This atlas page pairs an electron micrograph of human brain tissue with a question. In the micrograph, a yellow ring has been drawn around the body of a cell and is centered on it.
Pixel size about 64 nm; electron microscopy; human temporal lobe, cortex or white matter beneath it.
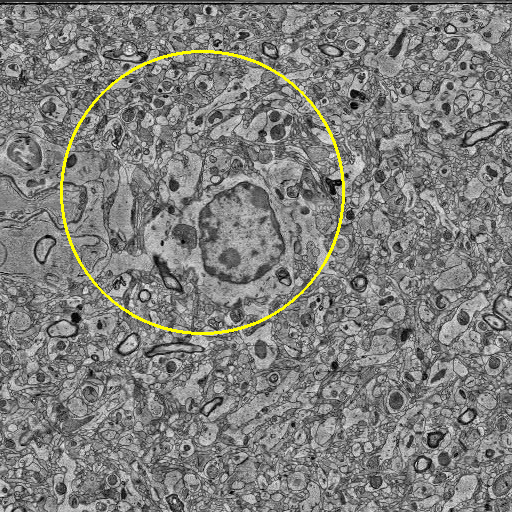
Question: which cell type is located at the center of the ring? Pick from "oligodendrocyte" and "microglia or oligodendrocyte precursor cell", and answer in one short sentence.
Located at the center of the ring is a microglial cell or oligodendrocyte precursor cell.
